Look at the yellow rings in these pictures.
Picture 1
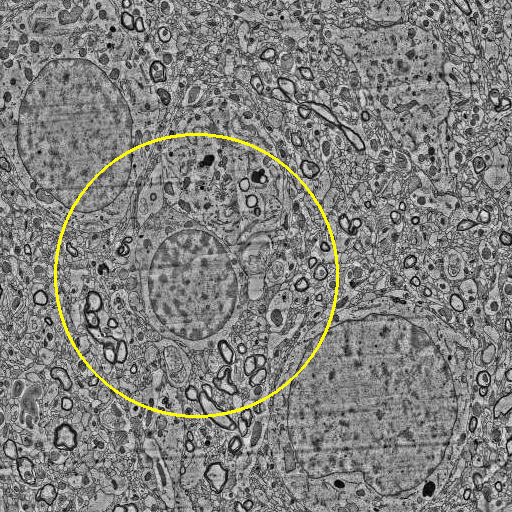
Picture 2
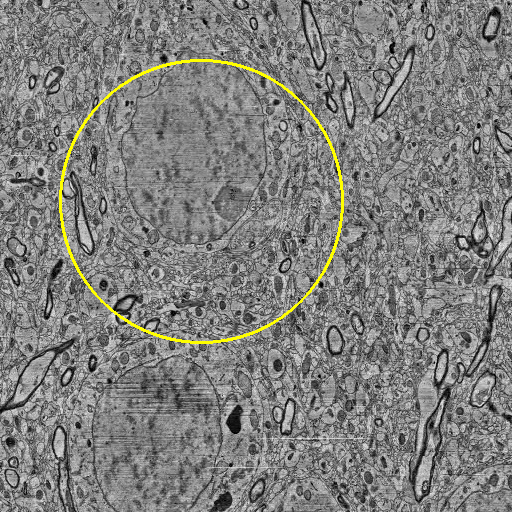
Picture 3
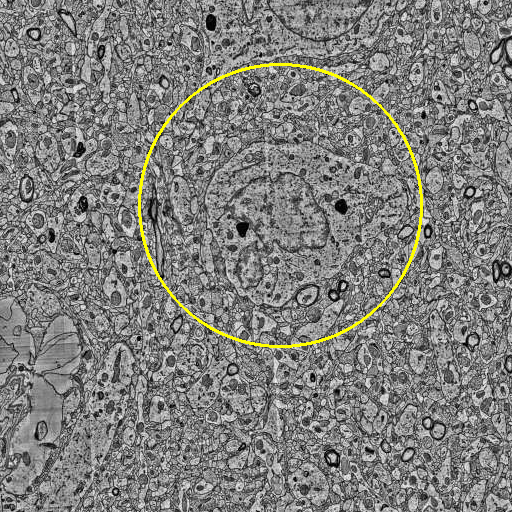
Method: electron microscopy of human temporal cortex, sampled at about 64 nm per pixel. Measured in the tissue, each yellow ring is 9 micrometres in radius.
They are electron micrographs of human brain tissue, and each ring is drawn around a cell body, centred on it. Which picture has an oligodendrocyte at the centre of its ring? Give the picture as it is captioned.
Picture 1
